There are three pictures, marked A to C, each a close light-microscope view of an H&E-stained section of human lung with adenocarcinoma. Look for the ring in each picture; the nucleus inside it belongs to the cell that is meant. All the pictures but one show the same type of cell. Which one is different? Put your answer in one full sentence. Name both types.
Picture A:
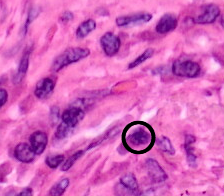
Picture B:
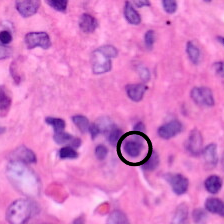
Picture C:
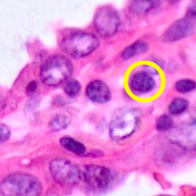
Unlike the rest, which show lymphocytes, picture A shows a plasma cell.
